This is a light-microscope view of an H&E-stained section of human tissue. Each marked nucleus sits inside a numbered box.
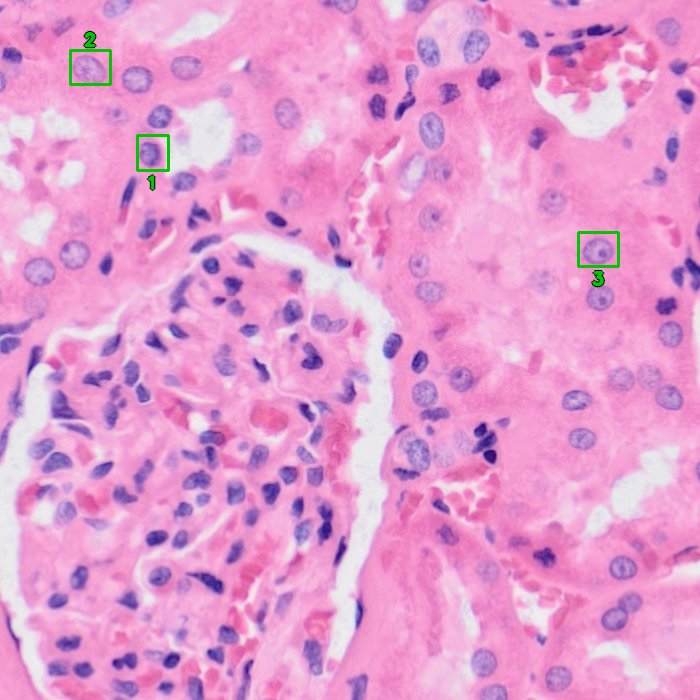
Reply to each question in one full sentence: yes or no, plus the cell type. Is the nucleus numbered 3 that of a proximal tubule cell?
Yes, the cell identified by number 3 is a proximal tubule cell.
